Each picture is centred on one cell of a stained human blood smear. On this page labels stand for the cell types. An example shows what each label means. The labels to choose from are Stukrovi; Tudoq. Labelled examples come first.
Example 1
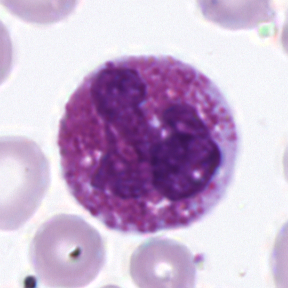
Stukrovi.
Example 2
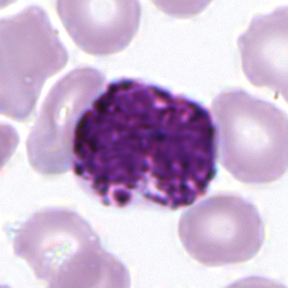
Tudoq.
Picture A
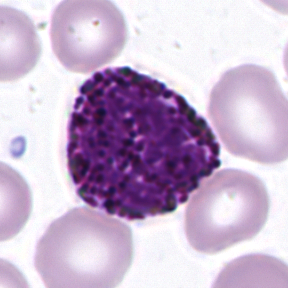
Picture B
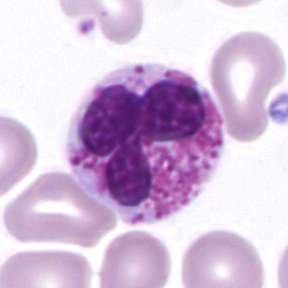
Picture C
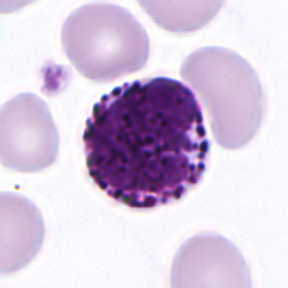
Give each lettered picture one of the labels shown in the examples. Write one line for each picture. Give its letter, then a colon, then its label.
A: Tudoq.
B: Stukrovi.
C: Tudoq.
